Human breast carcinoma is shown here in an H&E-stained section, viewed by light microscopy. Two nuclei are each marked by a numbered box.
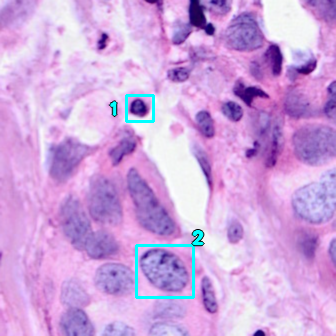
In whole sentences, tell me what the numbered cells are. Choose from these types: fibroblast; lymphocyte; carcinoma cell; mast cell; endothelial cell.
Cell 1 is a mast cell and cell 2 is a carcinoma cell.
